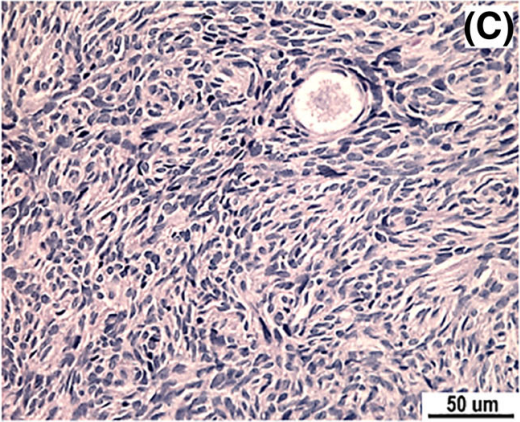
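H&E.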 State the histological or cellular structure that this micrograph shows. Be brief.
Primordial follicle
